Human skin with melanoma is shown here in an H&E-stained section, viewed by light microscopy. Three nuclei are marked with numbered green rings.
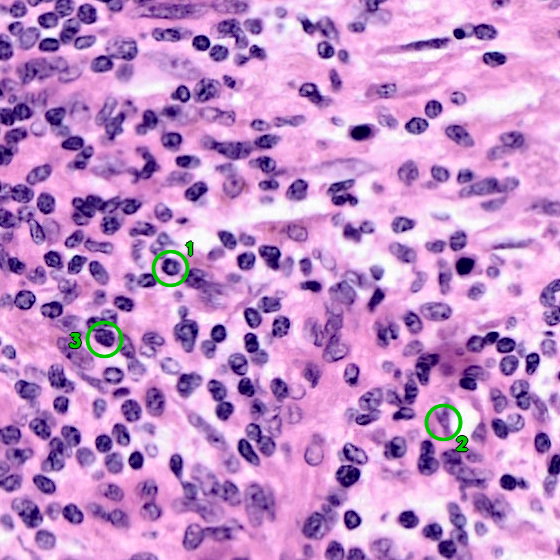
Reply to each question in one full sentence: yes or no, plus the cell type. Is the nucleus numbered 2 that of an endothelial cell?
Yes, the one numbered 2 is an endothelial cell.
